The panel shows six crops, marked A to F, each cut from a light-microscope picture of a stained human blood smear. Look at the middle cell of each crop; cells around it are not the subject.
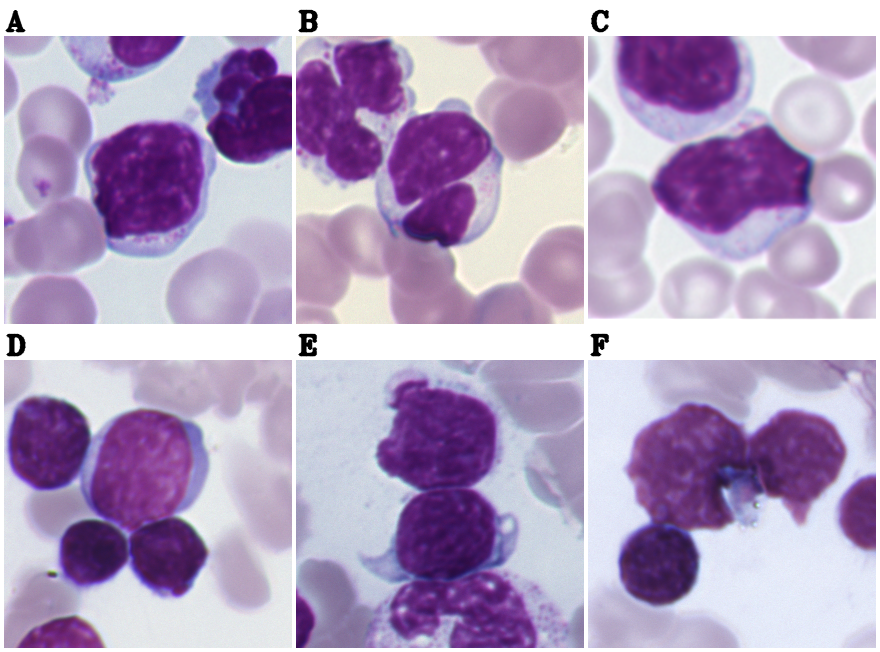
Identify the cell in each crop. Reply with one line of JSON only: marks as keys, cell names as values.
{"A": "large granular lymphocyte", "B": "large granular lymphocyte", "C": "large granular lymphocyte", "D": "myeloblast", "E": "myeloblast", "F": "myeloblast"}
